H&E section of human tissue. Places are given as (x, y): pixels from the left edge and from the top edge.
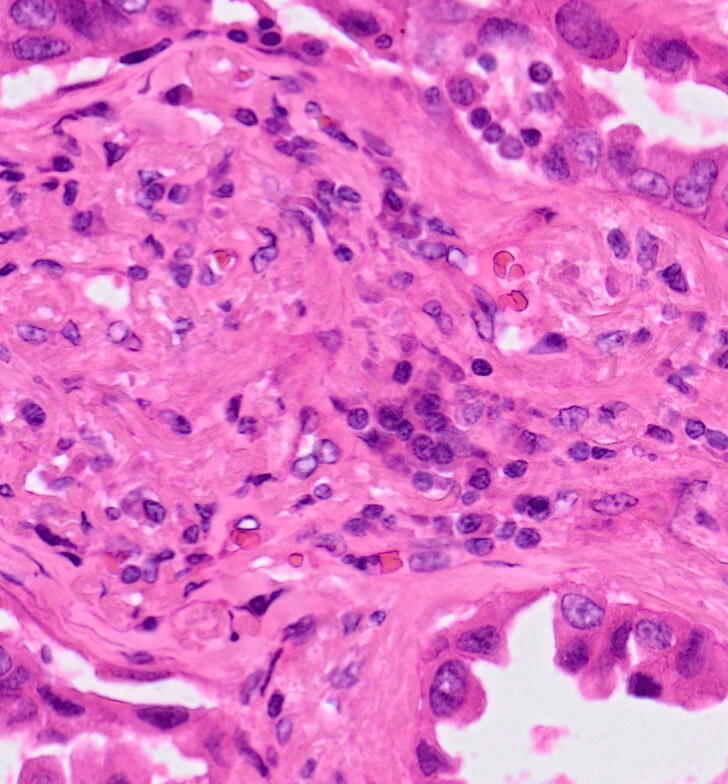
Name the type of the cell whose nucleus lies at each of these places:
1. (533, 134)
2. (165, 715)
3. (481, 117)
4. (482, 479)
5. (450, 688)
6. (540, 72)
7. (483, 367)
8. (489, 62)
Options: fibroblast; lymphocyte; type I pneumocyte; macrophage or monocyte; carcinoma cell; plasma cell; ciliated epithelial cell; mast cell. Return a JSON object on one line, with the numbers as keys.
{"1": "lymphocyte", "2": "carcinoma cell", "3": "lymphocyte", "4": "plasma cell", "5": "carcinoma cell", "6": "lymphocyte", "7": "lymphocyte", "8": "lymphocyte"}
